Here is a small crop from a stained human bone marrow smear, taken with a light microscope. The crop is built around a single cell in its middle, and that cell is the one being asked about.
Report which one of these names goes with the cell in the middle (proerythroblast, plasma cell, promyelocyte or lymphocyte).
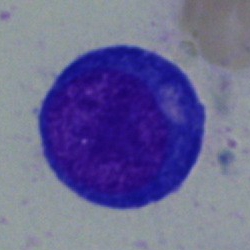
proerythroblast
